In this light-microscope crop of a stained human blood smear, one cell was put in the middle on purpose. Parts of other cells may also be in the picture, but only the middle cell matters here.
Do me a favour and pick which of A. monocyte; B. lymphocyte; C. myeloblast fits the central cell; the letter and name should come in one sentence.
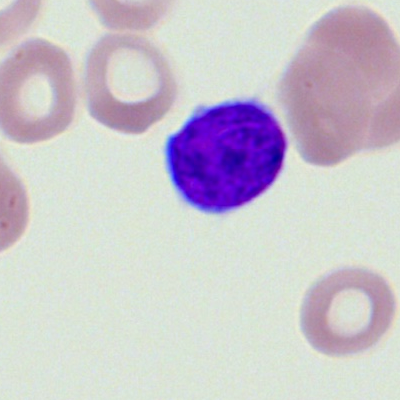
The correct option here is B; the middle cell is a lymphocyte.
